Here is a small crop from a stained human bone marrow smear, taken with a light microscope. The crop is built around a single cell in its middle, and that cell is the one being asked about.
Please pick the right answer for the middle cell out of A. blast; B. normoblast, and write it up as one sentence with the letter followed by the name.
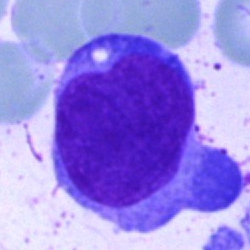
As the central cell is a blast, option A is correct.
